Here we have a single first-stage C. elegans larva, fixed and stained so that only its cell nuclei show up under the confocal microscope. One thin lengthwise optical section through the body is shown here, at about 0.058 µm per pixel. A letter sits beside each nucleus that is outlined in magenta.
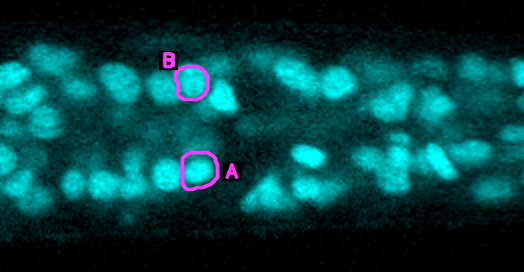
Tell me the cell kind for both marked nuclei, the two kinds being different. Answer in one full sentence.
One is from a GLR cell, namely A, and the other, B, is from a neuron.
